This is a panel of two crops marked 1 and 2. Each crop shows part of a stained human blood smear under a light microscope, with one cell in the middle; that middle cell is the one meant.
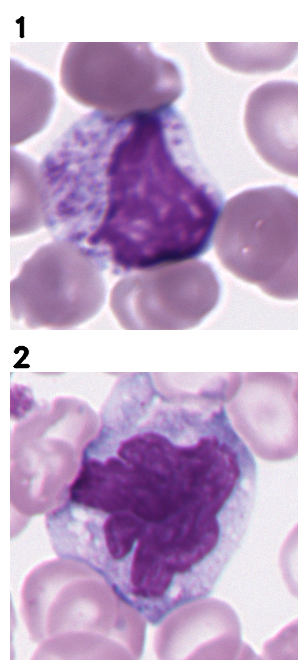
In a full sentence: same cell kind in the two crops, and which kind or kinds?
No, a myelocyte is what occupies crop 1, and a monocyte is what occupies crop 2.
